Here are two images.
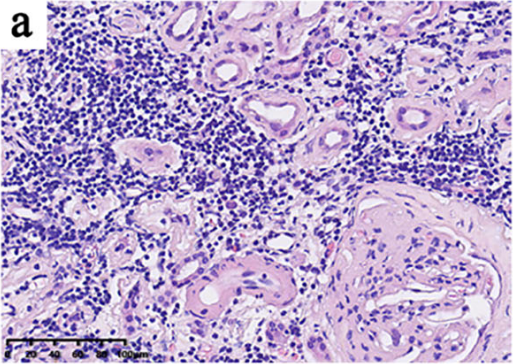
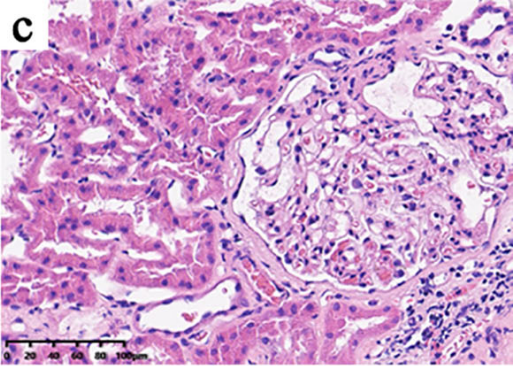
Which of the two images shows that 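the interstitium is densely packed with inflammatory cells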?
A: The first image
